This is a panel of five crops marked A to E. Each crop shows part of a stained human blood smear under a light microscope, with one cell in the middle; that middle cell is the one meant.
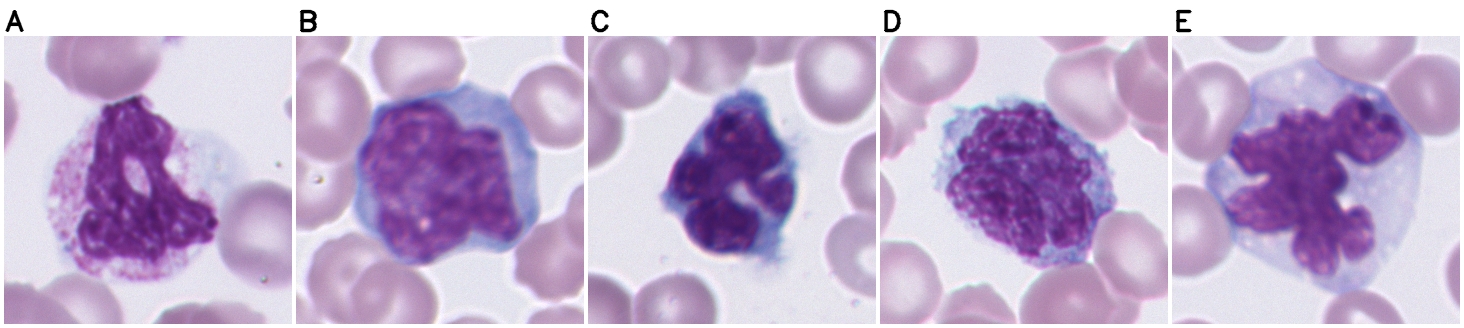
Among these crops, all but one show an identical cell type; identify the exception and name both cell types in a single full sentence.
Apart from crop A, a segmented neutrophil, the crops all show monocytes.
